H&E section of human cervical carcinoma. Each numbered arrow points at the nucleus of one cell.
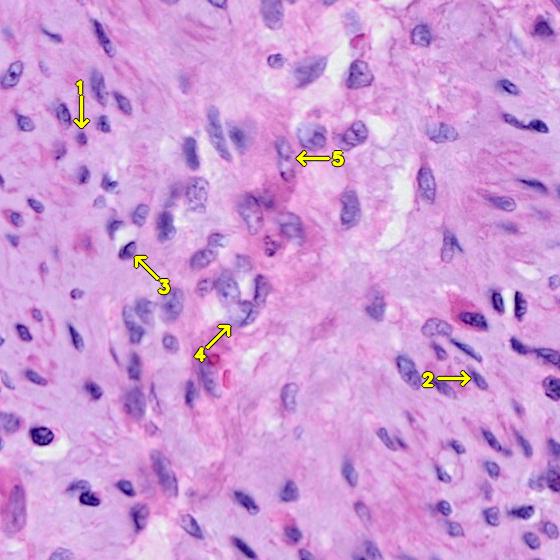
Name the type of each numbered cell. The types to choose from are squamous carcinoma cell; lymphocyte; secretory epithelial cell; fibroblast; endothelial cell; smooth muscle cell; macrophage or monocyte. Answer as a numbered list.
1. smooth muscle cell
2. smooth muscle cell
3. lymphocyte
4. endothelial cell
5. endothelial cell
